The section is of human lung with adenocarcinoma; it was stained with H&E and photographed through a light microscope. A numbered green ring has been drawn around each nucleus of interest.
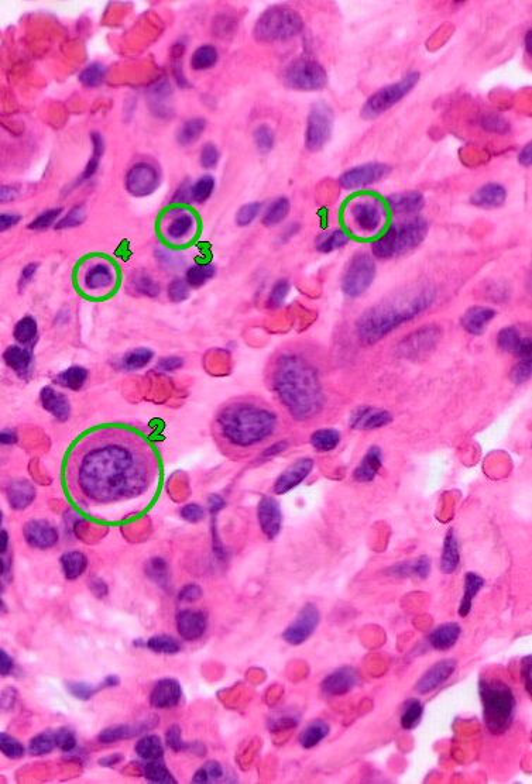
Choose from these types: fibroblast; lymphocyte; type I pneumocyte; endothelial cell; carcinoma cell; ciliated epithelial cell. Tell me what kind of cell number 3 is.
lymphocyte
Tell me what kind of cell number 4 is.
lymphocyte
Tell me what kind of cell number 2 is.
carcinoma cell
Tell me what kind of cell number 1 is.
lymphocyte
